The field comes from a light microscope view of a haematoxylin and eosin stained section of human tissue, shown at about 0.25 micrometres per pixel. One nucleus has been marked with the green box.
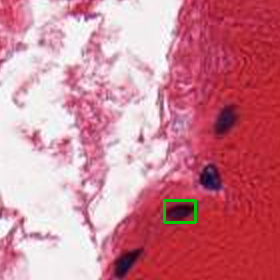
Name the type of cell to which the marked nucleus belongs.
skeletal muscle fibre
